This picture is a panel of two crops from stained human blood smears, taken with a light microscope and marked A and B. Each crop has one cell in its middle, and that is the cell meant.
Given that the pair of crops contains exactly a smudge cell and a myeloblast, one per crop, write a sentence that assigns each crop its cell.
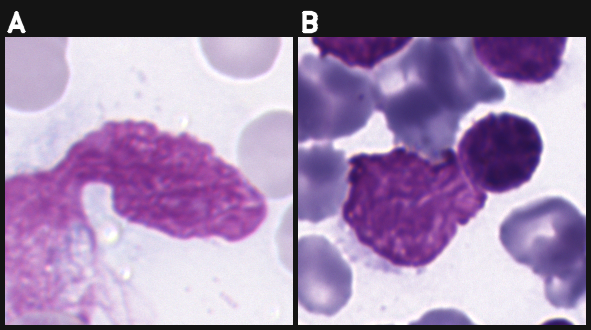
The correct labels are a smudge cell for crop A and a myeloblast for crop B.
